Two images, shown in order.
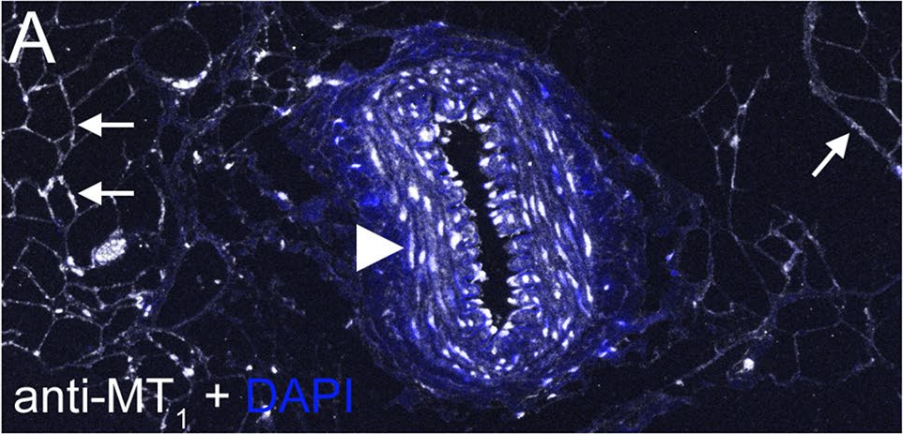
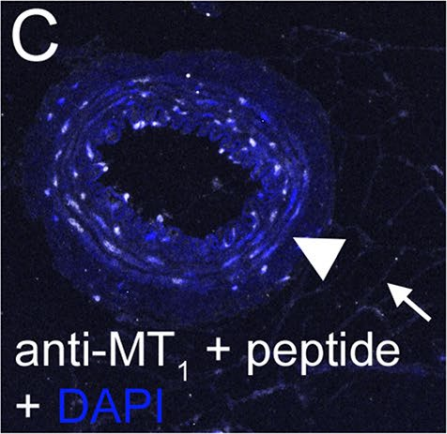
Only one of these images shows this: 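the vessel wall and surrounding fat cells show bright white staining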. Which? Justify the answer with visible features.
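Second image: the vessel wall shows mainly blue nuclei with faint white, and fat cell rims are barely visible. First image: the vessel wall and the rims of the surrounding fat cells are brightly white. On this evidence: the first image.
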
